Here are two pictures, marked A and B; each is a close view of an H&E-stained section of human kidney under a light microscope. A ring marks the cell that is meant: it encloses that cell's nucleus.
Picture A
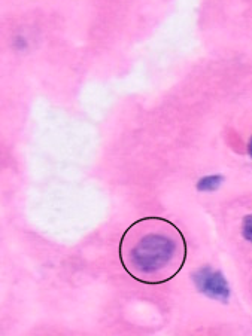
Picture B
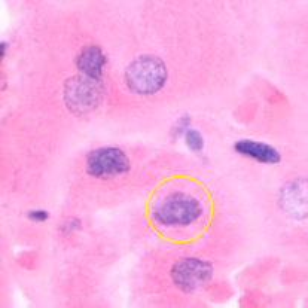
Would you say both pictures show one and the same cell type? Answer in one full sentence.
Yes, both are proximal tubule cells.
